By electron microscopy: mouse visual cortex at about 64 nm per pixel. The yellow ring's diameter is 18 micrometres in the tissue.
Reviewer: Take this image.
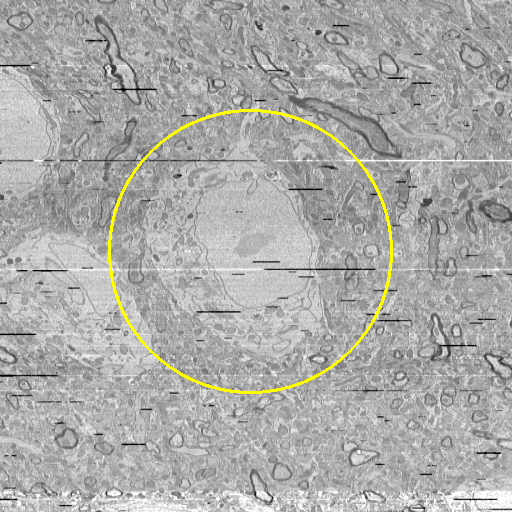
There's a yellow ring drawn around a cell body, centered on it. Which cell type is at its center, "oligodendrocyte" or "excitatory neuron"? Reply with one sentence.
At the center of the yellow ring is an excitatory neuron.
